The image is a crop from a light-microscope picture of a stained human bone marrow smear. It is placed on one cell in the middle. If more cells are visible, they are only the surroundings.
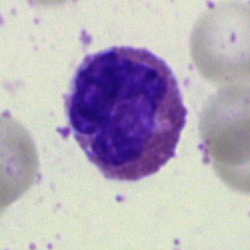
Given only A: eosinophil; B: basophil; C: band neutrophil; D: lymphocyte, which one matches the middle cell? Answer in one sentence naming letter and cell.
The centrally located cell is an eosinophil, making option A the correct choice.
